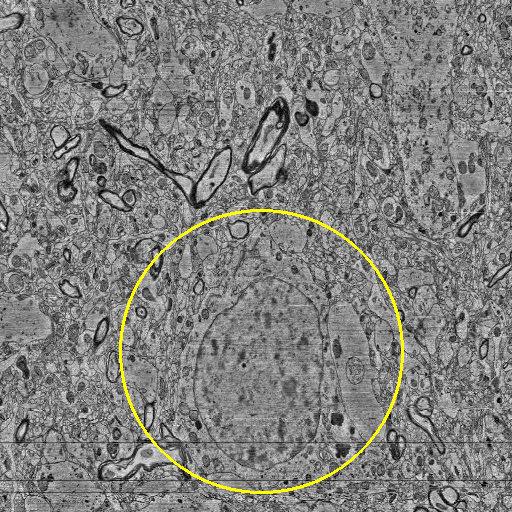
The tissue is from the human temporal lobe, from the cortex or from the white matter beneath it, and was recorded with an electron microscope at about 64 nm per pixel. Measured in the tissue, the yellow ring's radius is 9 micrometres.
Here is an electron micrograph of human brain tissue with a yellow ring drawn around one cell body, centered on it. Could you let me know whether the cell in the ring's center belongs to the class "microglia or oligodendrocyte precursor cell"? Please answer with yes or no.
no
